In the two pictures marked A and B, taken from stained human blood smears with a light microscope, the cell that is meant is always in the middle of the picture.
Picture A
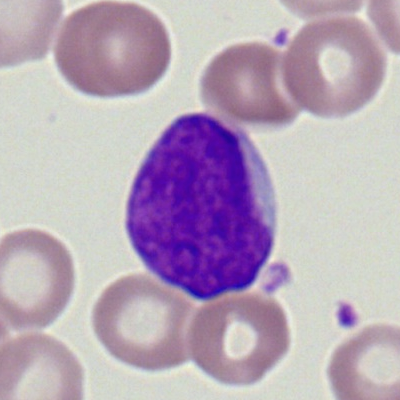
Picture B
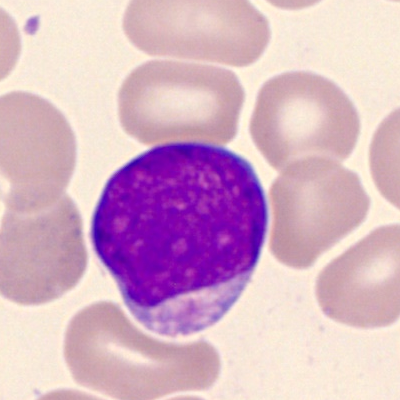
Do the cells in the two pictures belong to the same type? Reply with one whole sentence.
Yes, both cells are myeloblasts.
